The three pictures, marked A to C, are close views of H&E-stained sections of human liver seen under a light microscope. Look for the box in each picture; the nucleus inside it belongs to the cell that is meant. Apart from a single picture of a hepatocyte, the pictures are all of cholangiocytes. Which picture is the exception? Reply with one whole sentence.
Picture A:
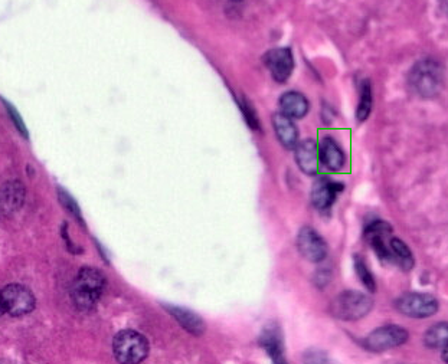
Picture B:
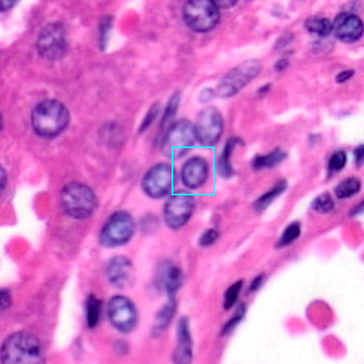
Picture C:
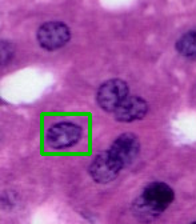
Picture C shows the hepatocyte.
